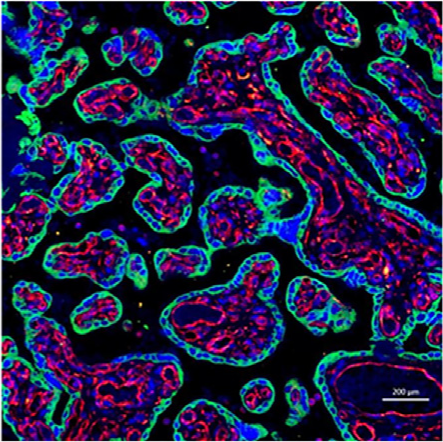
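Cross-sections of placental villi of varied size and shape, rounded and elongated, lie scattered in dark empty intervillous space. Each villus is covered by a thin, continuous green-stained epithelial layer of trophoblast cells, in which blue nuclei are lined up closely along the surface, in places heaped into small knots. Beneath this covering the core is filled with red-stained stromal cells forming a loose network, and many small round profiles ringed in red, resembling vessels, lie within the cores. Larger villi show elongated red strands running along their length. Blue nuclei are scattered throughout the stroma.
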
